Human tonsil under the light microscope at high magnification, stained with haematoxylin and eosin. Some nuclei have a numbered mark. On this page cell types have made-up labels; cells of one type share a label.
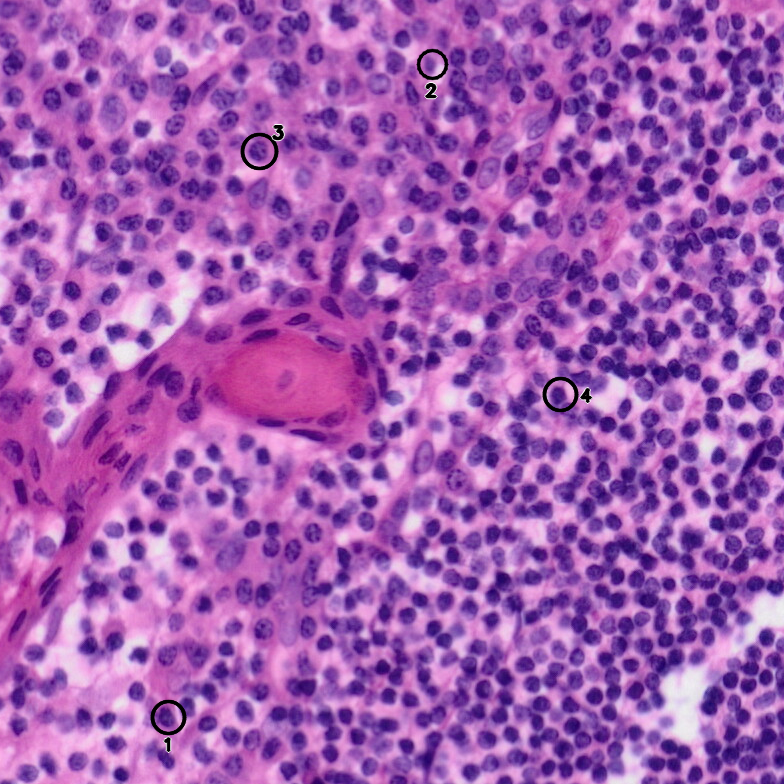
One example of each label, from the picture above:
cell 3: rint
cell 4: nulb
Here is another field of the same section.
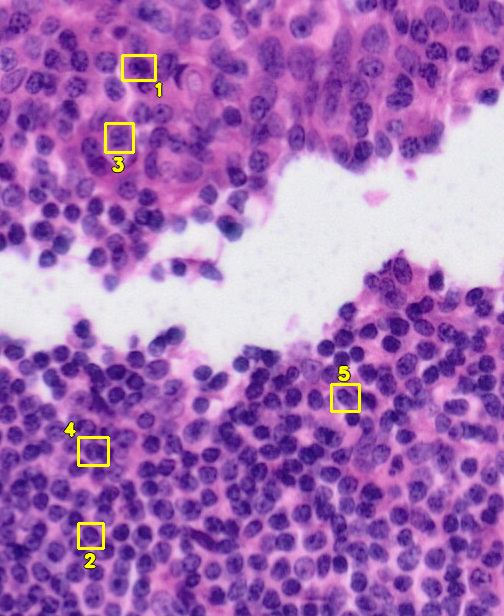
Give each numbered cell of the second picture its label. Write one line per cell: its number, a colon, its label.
1: rint
2: nulb
3: rint
4: nulb
5: nulb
